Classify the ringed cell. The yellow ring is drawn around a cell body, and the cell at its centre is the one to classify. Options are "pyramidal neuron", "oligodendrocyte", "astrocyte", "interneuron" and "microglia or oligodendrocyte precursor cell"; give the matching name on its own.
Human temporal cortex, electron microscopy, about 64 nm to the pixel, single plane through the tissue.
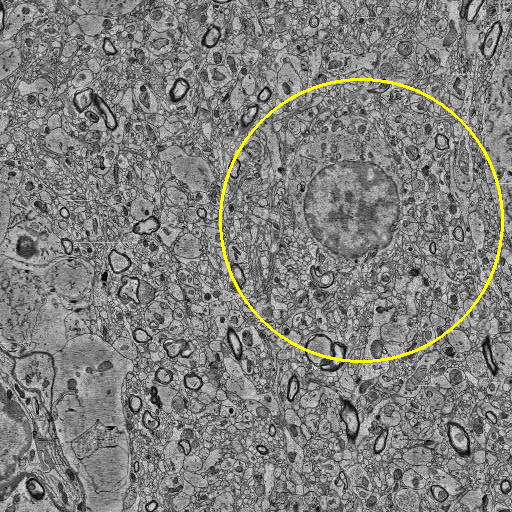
oligodendrocyte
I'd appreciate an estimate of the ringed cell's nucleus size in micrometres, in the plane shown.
Approximately 6 micrometres across, in this plane.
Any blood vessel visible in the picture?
Yes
